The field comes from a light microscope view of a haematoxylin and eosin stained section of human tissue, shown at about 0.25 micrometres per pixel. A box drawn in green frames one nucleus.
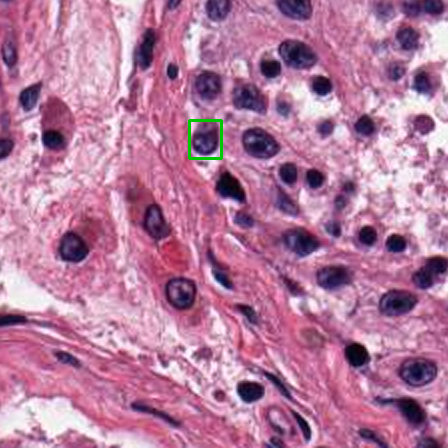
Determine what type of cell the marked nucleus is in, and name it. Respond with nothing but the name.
spermatogonium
